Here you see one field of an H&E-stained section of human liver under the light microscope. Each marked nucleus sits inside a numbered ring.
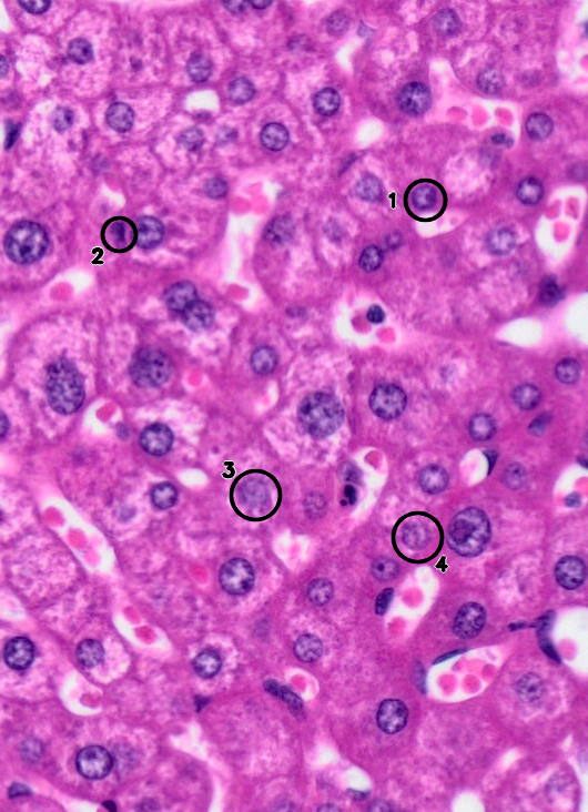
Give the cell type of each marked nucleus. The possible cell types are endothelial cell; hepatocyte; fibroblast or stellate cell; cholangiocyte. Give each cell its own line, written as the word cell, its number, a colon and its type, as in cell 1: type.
cell 1: hepatocyte
cell 2: fibroblast or stellate cell
cell 3: hepatocyte
cell 4: hepatocyte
